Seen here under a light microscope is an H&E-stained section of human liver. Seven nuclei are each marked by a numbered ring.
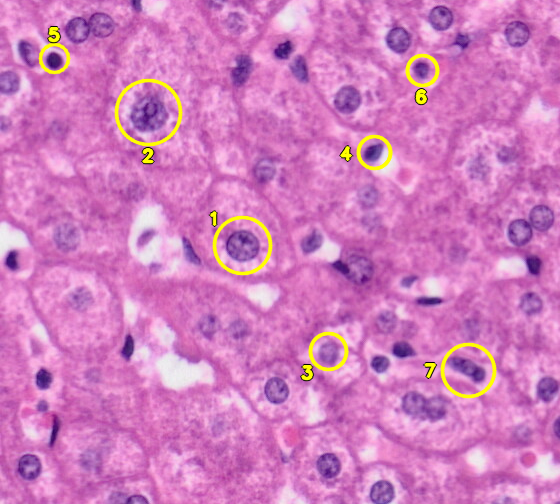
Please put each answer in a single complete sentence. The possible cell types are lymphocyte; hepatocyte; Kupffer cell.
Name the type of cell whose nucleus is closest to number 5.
The cell nearest to number 5 is a Kupffer cell.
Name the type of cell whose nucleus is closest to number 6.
The nearest nucleus to number 6 belongs to a hepatocyte.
